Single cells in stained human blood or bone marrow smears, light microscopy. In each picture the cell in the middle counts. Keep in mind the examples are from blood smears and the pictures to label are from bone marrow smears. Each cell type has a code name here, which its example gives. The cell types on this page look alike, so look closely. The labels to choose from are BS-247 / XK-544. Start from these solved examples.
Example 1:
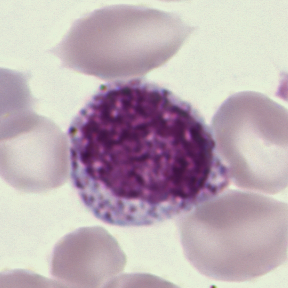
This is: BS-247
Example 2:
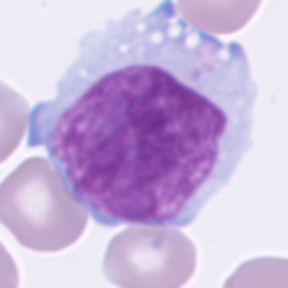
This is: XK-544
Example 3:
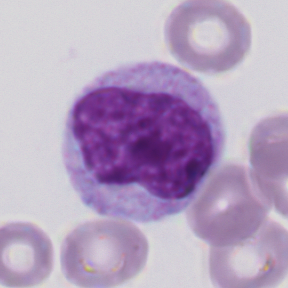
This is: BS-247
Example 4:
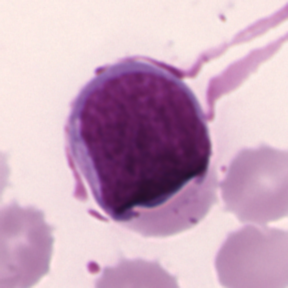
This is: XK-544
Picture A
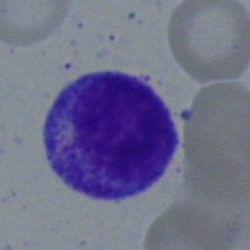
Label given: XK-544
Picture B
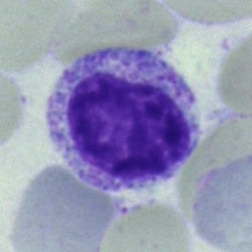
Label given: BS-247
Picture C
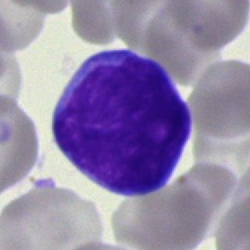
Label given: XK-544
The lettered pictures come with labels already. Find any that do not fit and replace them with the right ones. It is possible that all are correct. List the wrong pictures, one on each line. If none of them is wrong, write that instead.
A is labelled XK-544; correct label: BS-247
